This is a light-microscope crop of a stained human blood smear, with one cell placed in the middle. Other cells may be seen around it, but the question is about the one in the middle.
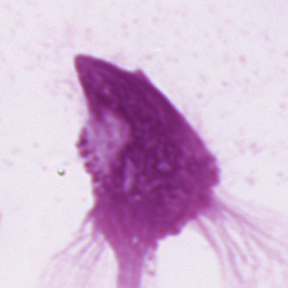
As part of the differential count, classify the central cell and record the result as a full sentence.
The center cell of this crop is a smudge cell.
